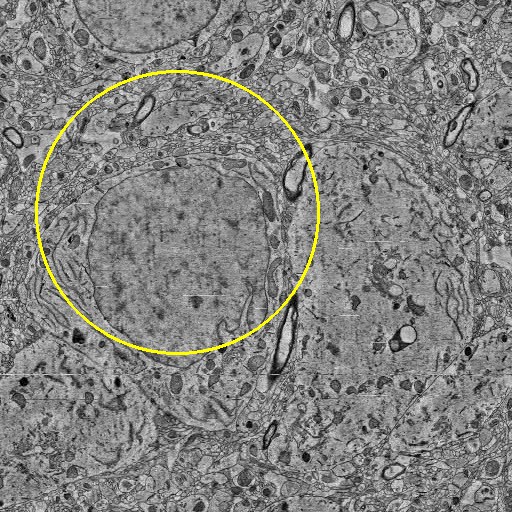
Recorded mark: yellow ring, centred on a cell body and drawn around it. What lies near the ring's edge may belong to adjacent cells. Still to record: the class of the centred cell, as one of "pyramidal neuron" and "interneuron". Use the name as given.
interneuron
